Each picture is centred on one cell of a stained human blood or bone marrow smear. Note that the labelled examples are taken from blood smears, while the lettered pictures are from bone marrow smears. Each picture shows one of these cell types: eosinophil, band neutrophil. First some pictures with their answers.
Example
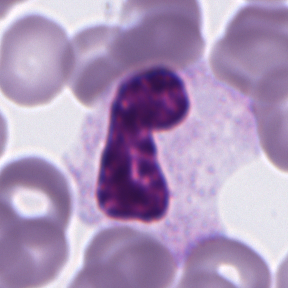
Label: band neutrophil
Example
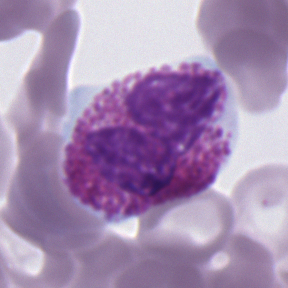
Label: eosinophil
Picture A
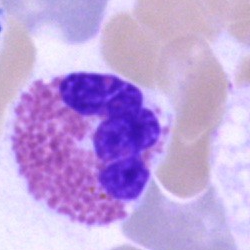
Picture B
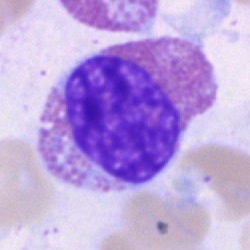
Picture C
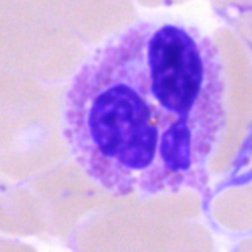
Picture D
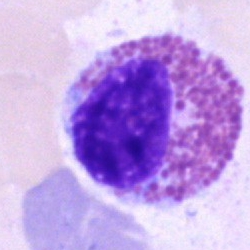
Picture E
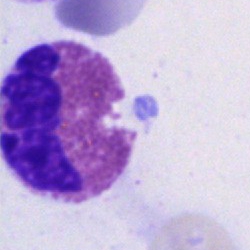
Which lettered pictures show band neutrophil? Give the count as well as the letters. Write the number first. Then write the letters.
0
